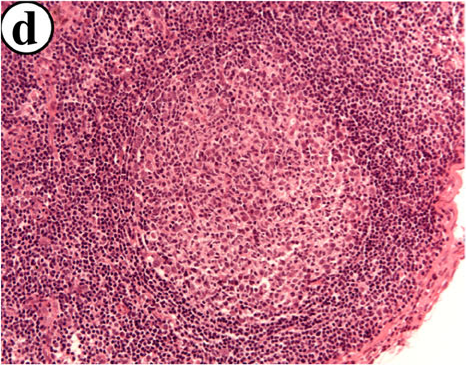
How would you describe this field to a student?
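A single lymphoid follicle in a lymph node, with a rounded pale centre surrounded by a dense rim of small dark lymphocytes. In the centre the cells are larger, with paler, open, oval nuclei and more pink cytoplasm, lying less tightly packed than those around them. The rim is made of small round cells with dark, compact nuclei and scant cytoplasm, crowded closely together, and it merges outward into similar small cells between follicles. At the lower right edge a thin band of pink fibrous tissue lines the node. The overall layout of pale centre and dark rim looks much like an ordinary follicle.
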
